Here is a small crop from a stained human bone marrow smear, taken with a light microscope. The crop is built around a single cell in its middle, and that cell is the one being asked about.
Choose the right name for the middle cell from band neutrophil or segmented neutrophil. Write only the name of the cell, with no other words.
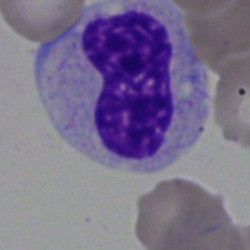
band neutrophil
